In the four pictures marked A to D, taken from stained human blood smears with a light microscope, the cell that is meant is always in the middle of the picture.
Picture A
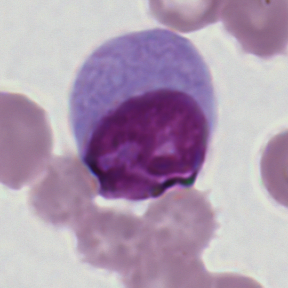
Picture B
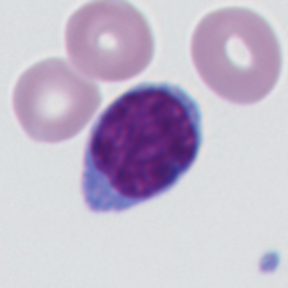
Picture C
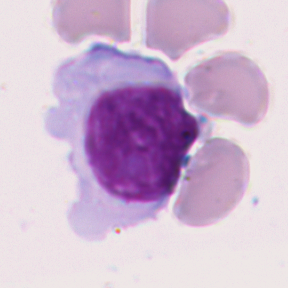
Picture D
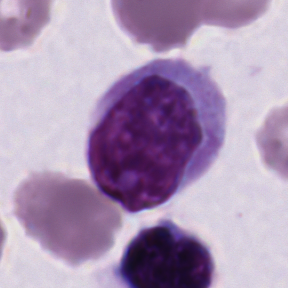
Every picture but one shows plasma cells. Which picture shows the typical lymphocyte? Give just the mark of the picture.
B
